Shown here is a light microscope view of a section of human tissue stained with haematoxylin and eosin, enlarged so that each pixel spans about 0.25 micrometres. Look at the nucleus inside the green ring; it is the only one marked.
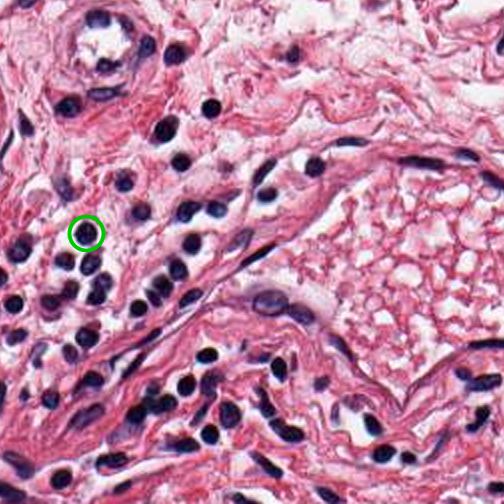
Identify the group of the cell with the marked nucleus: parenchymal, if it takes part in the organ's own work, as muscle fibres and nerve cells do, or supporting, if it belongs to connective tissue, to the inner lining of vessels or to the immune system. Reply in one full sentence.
It is a supporting cell to which the marked nucleus belongs.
